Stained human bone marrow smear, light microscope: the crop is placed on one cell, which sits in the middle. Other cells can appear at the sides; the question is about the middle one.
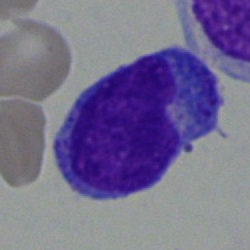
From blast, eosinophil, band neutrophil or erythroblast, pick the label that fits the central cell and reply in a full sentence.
The cell at the central position in this crop is a blast.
